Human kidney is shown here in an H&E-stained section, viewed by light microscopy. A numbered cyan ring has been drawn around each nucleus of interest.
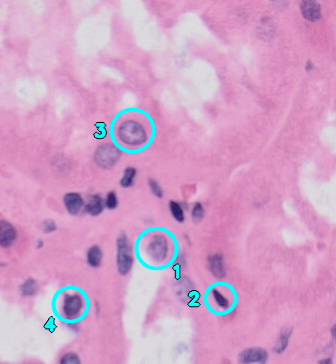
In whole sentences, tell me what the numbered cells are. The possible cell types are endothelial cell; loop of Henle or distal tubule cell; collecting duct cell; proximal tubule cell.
Cell 1 is a loop of Henle or distal tubule cell, cell 2 is an endothelial cell, cell 3 is a proximal tubule cell and cell 4 is a loop of Henle or distal tubule cell.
